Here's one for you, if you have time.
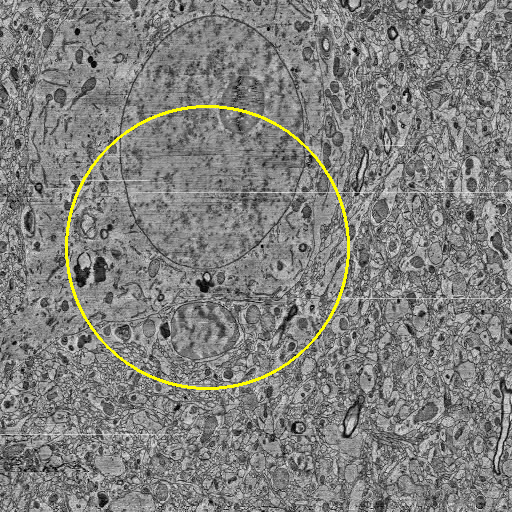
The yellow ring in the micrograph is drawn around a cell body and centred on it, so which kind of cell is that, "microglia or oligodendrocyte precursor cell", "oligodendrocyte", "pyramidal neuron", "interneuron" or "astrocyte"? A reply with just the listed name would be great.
pyramidal neuron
